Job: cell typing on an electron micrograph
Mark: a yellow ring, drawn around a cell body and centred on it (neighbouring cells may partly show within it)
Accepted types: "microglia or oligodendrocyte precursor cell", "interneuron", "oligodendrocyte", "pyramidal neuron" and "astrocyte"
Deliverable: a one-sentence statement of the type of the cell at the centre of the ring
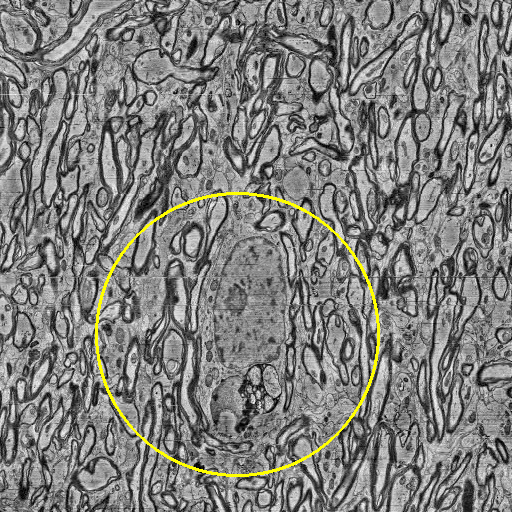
The centred cell body is that of an astrocyte.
